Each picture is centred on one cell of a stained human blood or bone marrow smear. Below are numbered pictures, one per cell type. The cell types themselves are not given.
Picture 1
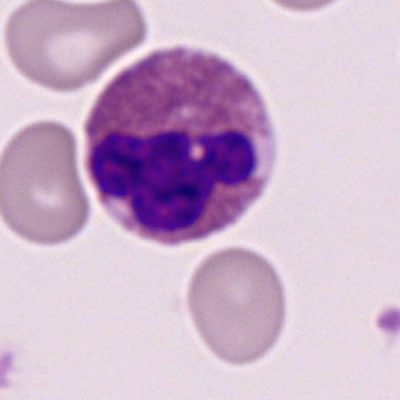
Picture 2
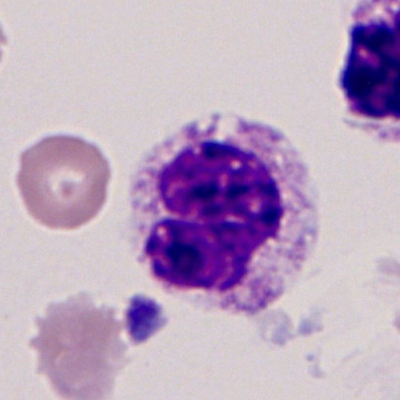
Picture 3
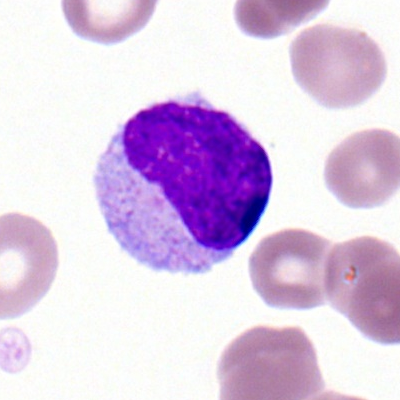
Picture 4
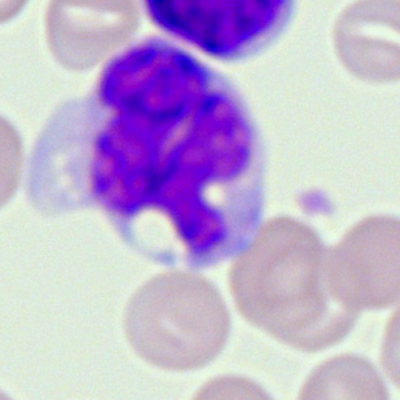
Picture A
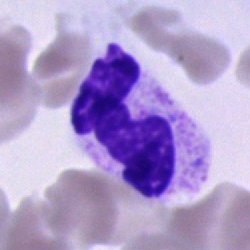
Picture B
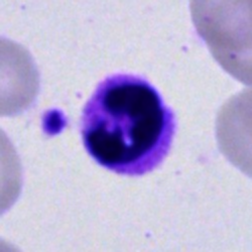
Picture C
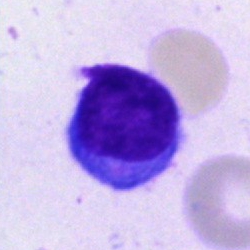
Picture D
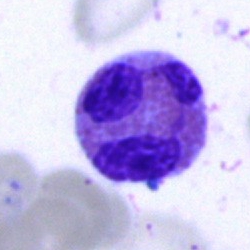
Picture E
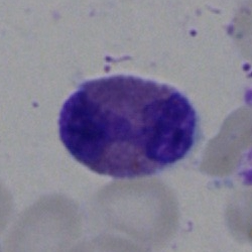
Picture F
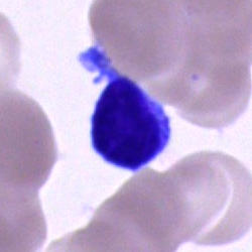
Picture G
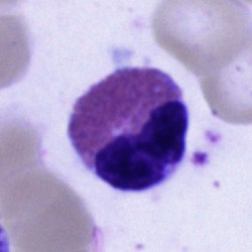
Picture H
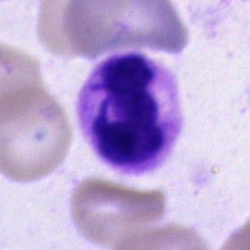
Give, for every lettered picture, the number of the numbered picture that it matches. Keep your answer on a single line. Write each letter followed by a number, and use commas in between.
A 2, B 2, C 3, D 1, E 1, F 3, G 1, H 2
